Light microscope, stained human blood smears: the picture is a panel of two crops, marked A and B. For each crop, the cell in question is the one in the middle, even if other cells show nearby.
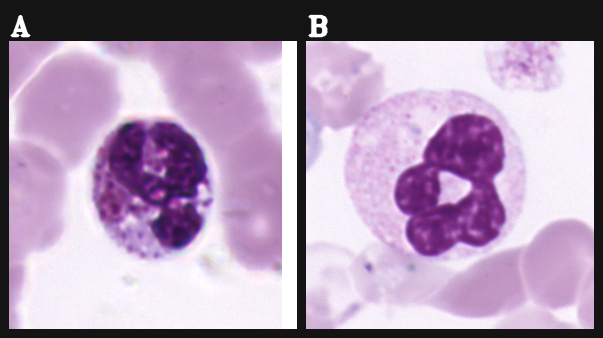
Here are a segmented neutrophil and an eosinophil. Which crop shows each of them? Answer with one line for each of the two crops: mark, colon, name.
A: eosinophil
B: segmented neutrophil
